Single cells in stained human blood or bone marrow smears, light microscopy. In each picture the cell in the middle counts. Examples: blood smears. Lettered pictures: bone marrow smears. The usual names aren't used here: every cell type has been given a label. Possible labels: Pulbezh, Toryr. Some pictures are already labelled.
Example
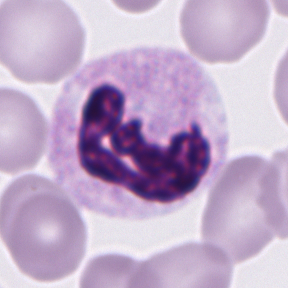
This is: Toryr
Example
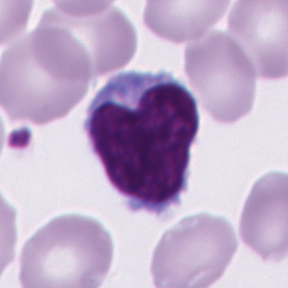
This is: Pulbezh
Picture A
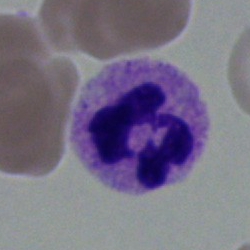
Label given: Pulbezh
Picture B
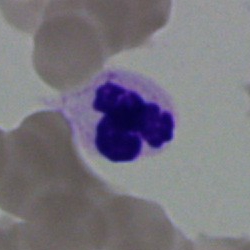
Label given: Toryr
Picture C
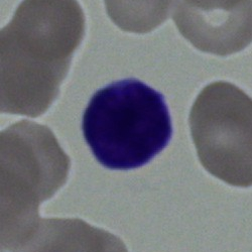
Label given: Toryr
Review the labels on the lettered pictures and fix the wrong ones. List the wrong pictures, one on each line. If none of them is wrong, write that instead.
A: change Pulbezh to Toryr
C: change Toryr to Pulbezh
